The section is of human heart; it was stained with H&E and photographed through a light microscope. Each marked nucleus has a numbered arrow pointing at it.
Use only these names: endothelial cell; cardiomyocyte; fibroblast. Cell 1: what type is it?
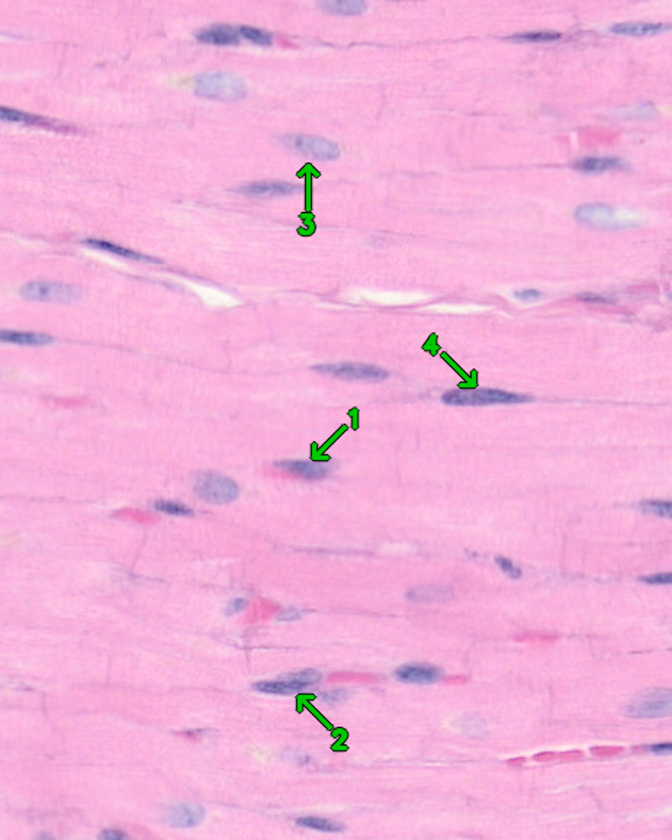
endothelial cell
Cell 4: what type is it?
endothelial cell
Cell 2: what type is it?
endothelial cell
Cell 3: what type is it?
cardiomyocyte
